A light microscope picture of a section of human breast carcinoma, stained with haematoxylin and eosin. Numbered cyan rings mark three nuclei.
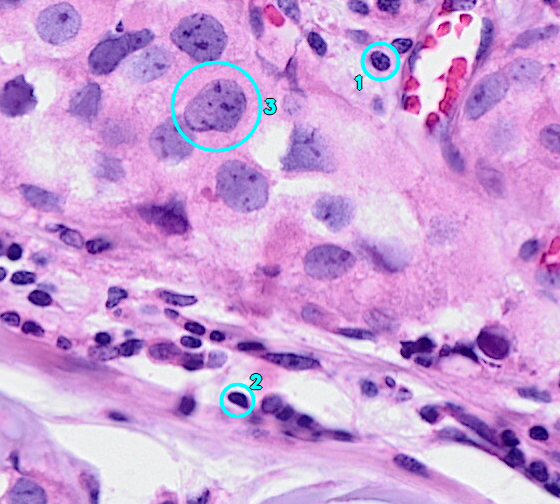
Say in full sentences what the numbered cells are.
Cells 1 and 2 are lymphocytes. Cell 3 is a carcinoma cell.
